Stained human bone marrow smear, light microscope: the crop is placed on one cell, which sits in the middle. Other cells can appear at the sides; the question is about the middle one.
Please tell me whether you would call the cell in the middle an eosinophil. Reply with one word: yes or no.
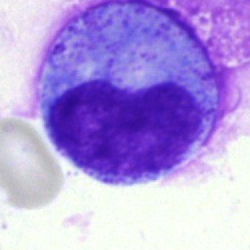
no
